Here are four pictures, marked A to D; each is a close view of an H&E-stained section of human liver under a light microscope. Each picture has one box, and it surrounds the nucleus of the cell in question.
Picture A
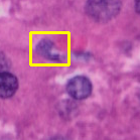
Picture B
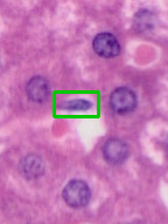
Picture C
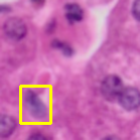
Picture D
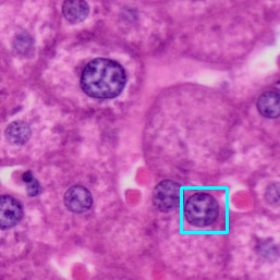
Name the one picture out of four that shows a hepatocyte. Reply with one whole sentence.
The picture with the hepatocyte is D.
